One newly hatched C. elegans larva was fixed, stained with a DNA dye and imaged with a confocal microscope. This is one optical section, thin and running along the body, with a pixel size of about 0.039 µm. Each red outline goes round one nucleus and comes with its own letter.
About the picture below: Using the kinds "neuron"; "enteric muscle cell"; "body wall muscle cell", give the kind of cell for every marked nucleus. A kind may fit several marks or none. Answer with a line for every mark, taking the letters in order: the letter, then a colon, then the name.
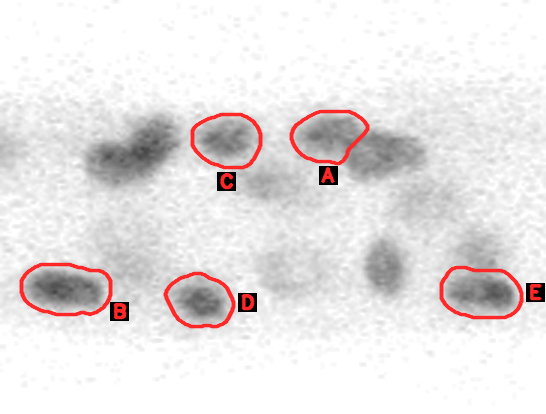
A: neuron
B: body wall muscle cell
C: neuron
D: body wall muscle cell
E: body wall muscle cell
